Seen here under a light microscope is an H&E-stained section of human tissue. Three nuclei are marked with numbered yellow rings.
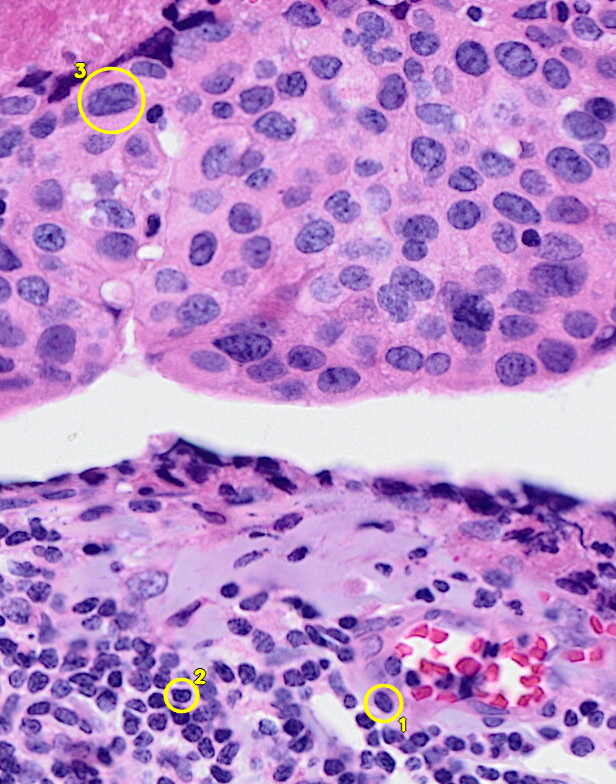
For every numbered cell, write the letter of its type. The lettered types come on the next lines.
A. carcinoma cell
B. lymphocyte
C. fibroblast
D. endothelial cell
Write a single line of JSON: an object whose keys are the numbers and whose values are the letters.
{"1": "B", "2": "B", "3": "A"}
